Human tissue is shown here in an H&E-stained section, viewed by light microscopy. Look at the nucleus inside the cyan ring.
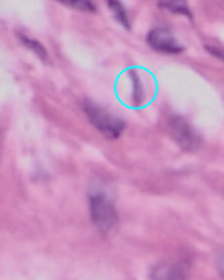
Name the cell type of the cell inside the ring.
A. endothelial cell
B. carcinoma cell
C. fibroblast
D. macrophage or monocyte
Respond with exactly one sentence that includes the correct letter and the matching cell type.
It is option C that is correct, the cell inside the ring being a fibroblast.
